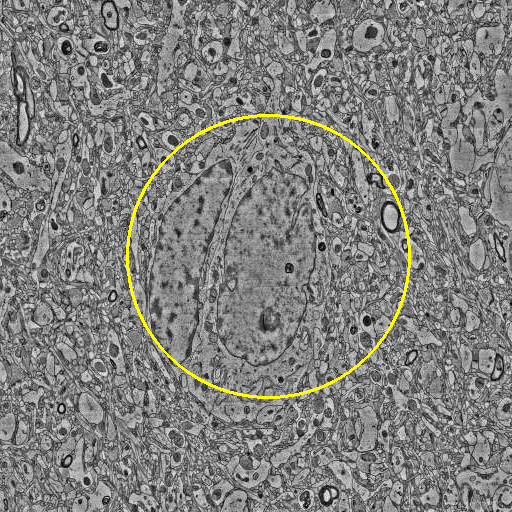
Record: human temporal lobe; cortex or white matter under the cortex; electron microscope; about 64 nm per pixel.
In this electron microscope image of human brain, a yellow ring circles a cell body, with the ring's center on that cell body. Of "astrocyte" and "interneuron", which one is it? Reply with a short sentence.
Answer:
It is an interneuron at the center of the ring.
